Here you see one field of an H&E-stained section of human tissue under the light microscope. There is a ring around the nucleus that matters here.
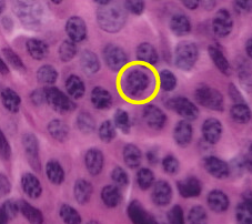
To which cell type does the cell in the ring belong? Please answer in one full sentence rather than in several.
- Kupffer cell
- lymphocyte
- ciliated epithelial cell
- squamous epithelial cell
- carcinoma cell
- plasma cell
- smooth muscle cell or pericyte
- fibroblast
As far as its identity is concerned, the cell in the ring is a plasma cell.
